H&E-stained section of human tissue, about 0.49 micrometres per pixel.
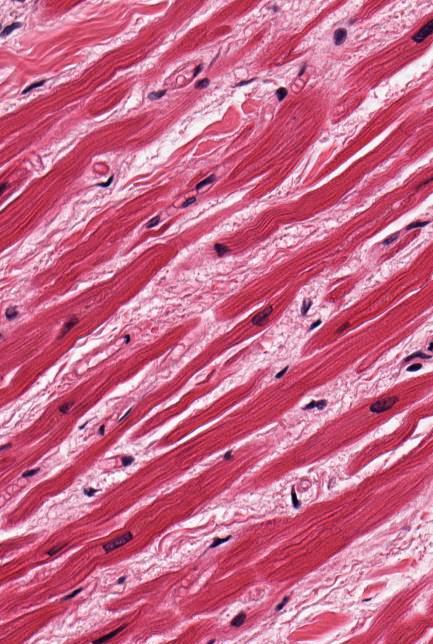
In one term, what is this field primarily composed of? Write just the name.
myocardium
